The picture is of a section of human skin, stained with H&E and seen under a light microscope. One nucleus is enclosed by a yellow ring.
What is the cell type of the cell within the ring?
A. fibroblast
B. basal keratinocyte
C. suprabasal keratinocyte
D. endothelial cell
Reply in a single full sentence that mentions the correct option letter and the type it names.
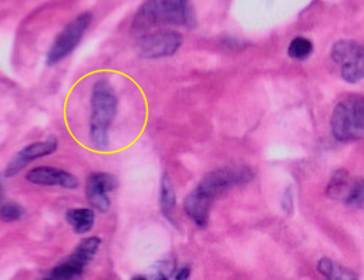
Option D is the right choice, for the cell within the ring is an endothelial cell.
